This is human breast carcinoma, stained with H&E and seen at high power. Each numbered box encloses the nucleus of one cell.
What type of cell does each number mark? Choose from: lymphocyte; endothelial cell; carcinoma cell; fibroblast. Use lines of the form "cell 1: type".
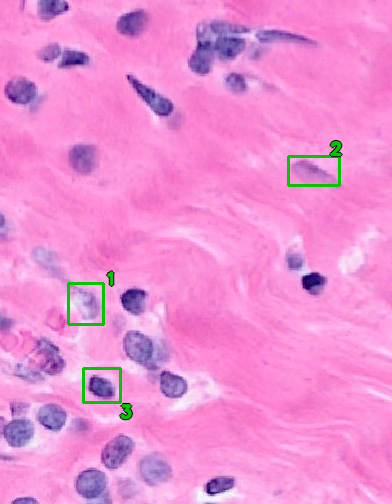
cell 1: endothelial cell
cell 2: fibroblast
cell 3: lymphocyte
